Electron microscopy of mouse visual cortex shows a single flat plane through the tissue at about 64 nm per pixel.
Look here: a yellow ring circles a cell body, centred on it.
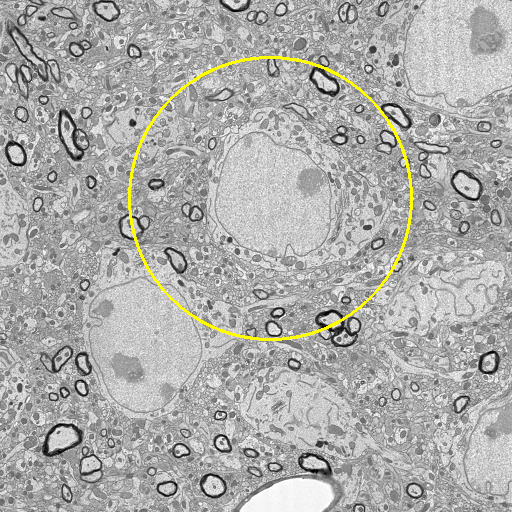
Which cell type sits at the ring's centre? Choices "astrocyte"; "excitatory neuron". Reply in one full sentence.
The cell at the centre of the yellow ring in the picture is an excitatory neuron.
